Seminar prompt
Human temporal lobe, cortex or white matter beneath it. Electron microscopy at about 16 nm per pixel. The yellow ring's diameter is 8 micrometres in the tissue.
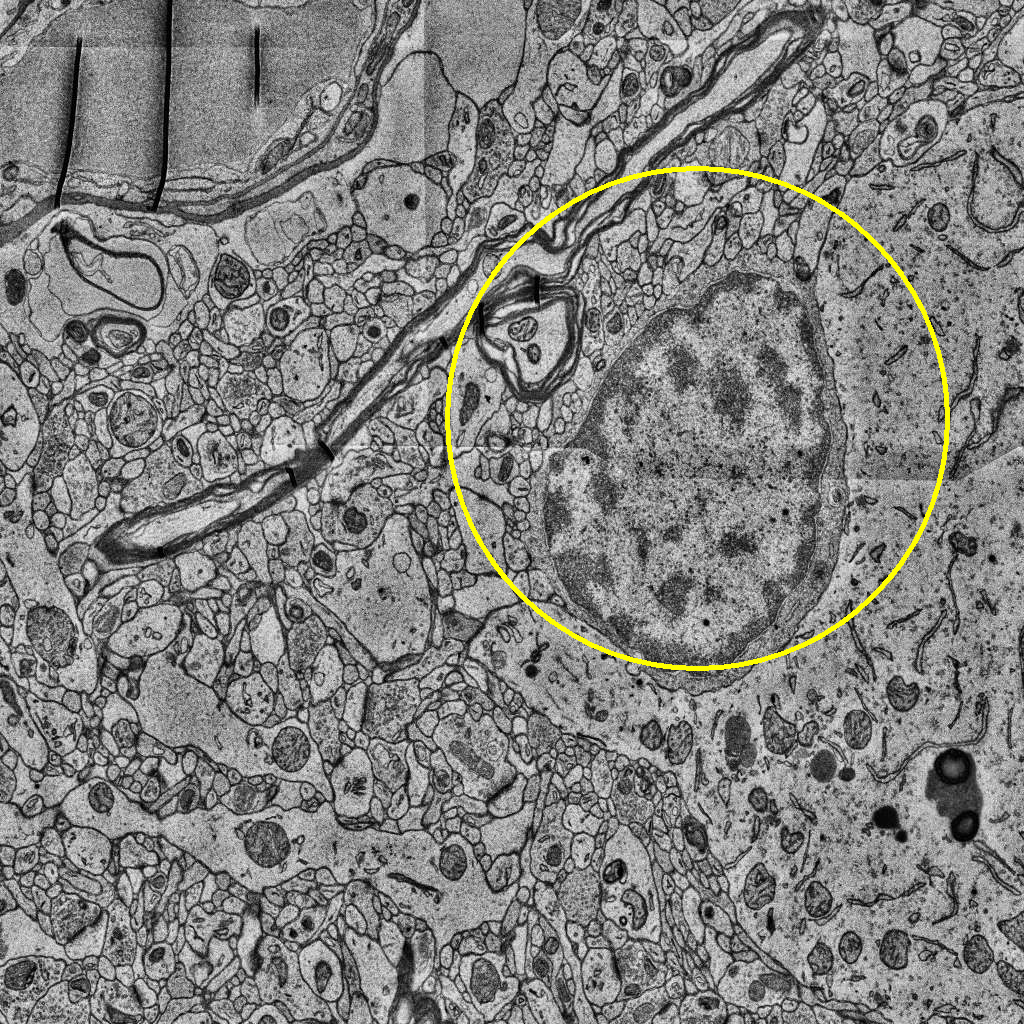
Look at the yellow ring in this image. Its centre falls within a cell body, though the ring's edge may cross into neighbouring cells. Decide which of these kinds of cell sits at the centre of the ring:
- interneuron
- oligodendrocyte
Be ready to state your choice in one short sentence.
The kind of cell at the ring's centre is an oligodendrocyte.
